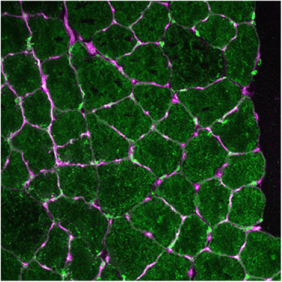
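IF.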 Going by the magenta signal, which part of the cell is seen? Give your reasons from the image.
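Muscle fiber sarcolemma. Magenta lines outline each polygonal profile. The magenta outlines form a continuous network between fibers.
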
